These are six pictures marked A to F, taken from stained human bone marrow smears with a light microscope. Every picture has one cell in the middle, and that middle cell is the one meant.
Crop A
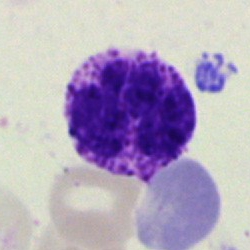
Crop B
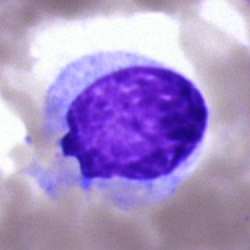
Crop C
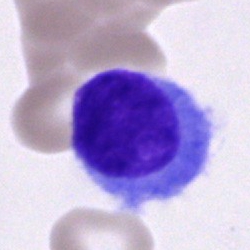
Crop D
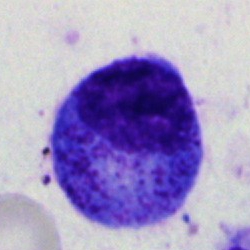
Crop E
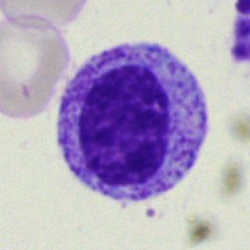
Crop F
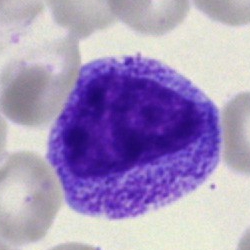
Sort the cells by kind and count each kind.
hairy cell: 2
myelocyte: 2
basophil: 1
promyelocyte: 1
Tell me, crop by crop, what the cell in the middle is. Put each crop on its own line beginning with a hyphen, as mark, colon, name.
- A: basophil
- B: hairy cell
- C: hairy cell
- D: promyelocyte
- E: myelocyte
- F: myelocyte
